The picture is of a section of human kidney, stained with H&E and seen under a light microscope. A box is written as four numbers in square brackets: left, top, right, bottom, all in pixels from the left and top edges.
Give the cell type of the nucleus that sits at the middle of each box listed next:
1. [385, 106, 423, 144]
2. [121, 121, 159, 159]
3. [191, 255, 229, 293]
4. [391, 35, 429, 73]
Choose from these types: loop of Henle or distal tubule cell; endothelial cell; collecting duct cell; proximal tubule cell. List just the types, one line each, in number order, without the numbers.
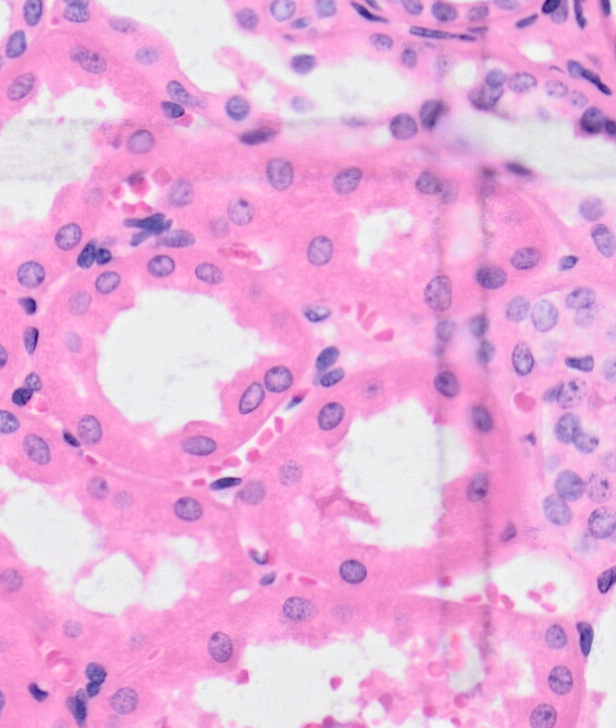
collecting duct cell
proximal tubule cell
proximal tubule cell
collecting duct cell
